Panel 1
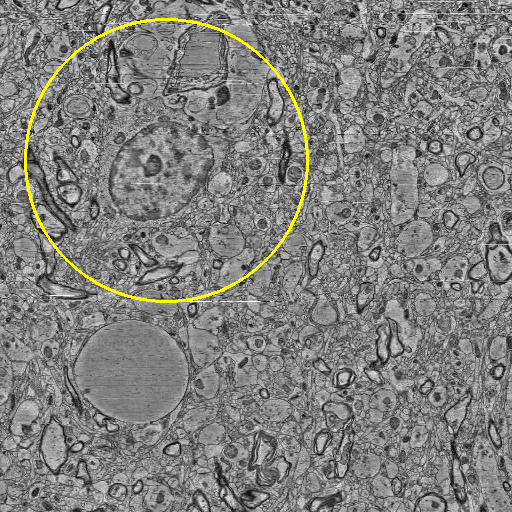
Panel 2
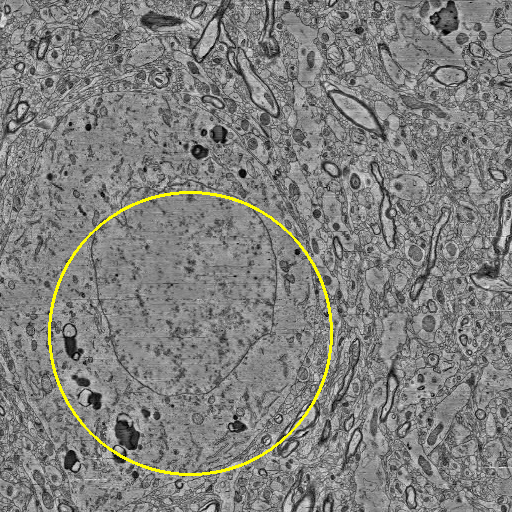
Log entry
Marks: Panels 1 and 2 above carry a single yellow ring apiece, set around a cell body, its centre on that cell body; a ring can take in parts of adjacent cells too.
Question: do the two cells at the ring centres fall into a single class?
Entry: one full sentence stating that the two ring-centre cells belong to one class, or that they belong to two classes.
The two ring-centre cells in Panels 1 and 2 belong to two classes.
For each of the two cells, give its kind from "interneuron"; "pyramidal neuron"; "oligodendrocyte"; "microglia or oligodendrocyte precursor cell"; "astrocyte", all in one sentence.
The first picture has an oligodendrocyte in its ring, the second has a pyramidal neuron.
